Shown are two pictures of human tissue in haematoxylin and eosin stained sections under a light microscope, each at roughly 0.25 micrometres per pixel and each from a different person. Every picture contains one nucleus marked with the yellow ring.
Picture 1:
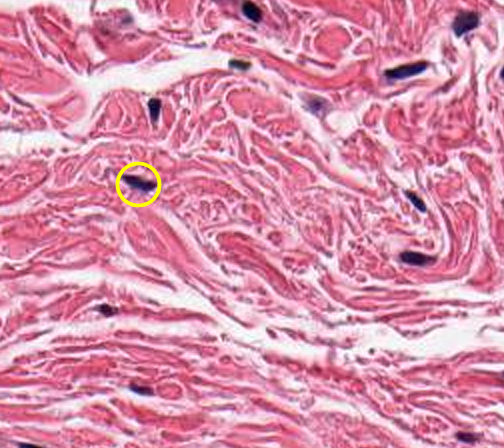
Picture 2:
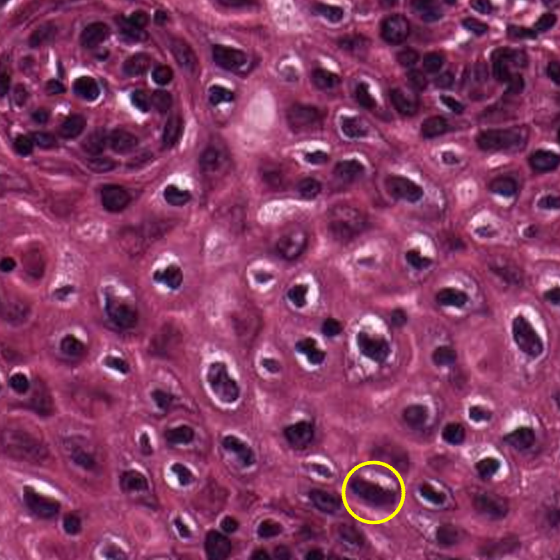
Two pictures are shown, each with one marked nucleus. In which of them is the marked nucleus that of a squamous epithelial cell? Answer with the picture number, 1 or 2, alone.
2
